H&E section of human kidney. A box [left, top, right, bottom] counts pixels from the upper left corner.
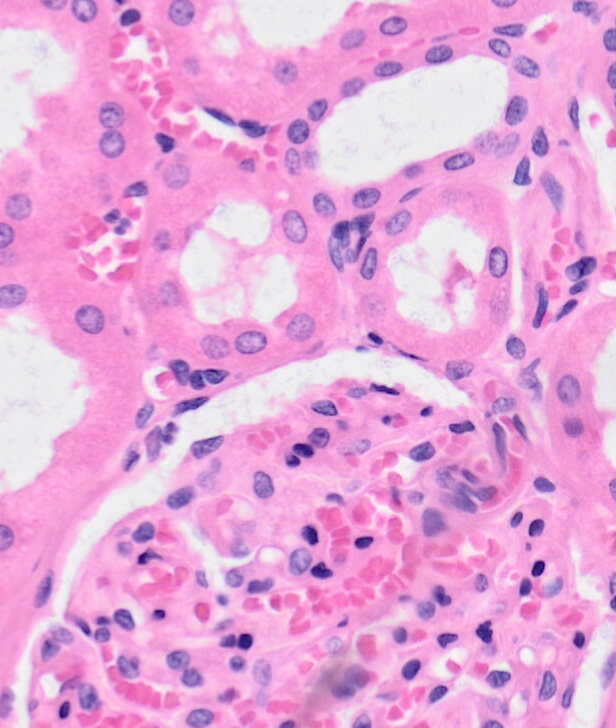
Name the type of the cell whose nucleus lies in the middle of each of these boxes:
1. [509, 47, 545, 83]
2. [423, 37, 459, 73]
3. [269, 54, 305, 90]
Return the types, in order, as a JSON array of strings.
["collecting duct cell", "collecting duct cell", "proximal tubule cell"]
